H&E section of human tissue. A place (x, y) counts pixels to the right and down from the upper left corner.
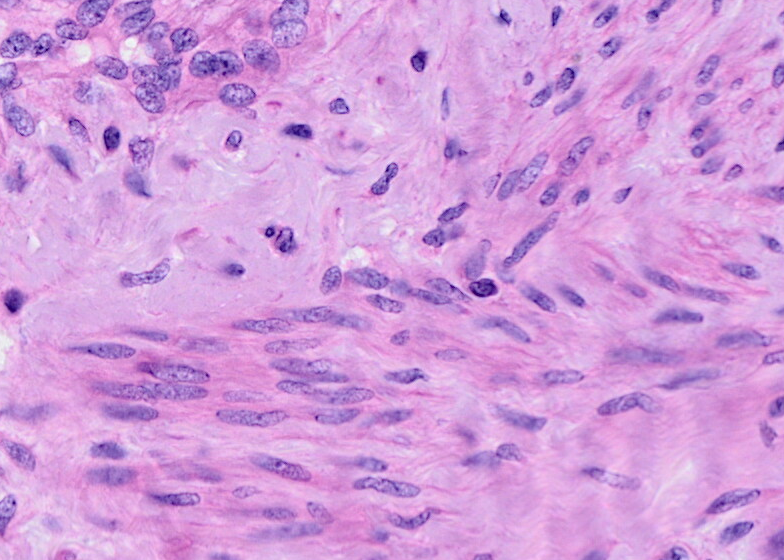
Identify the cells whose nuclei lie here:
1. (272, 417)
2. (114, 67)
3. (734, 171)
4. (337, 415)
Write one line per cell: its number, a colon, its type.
1: smooth muscle cell
2: endothelial cell
3: smooth muscle cell
4: smooth muscle cell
